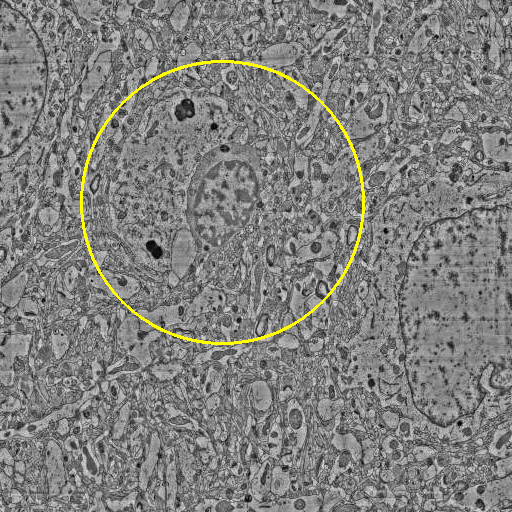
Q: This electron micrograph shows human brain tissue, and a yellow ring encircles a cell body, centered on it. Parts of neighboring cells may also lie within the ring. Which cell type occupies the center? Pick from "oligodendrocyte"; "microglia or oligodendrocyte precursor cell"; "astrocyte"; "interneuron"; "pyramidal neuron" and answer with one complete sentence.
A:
What sits at the ring's center in this micrograph is an oligodendrocyte, among those choices.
